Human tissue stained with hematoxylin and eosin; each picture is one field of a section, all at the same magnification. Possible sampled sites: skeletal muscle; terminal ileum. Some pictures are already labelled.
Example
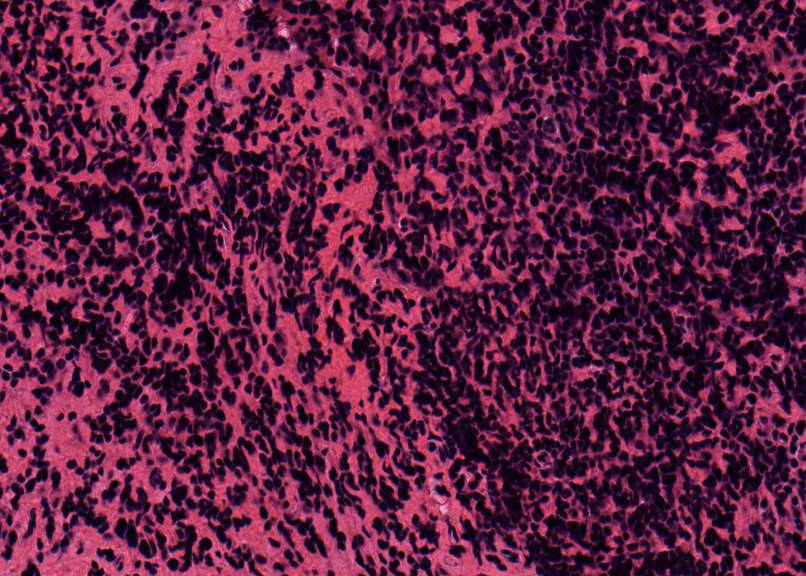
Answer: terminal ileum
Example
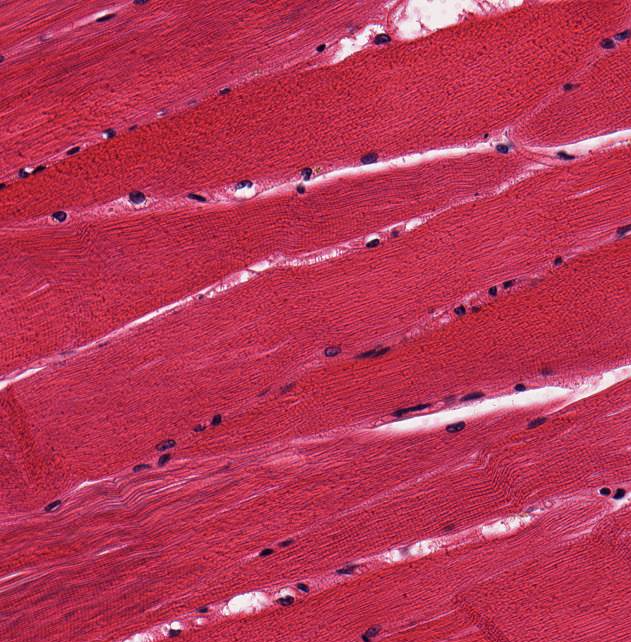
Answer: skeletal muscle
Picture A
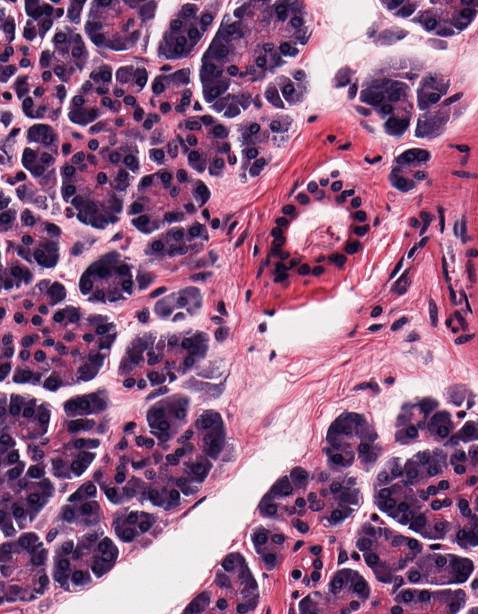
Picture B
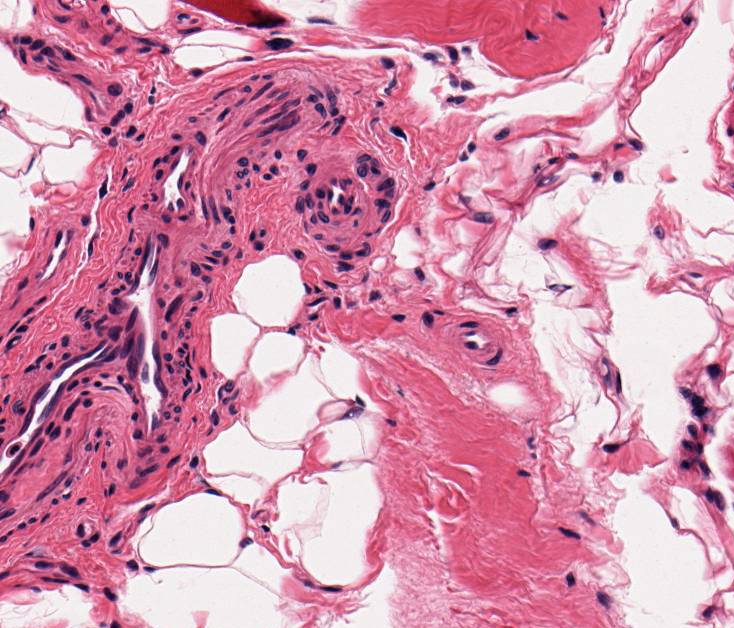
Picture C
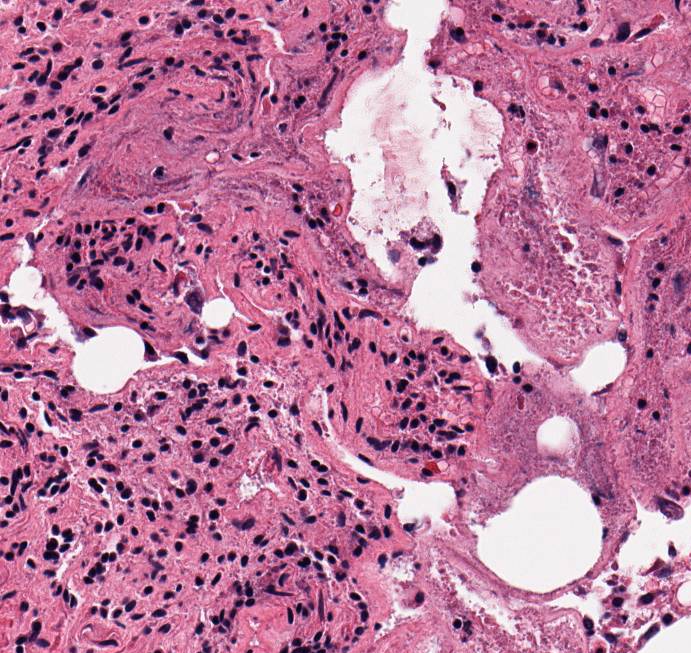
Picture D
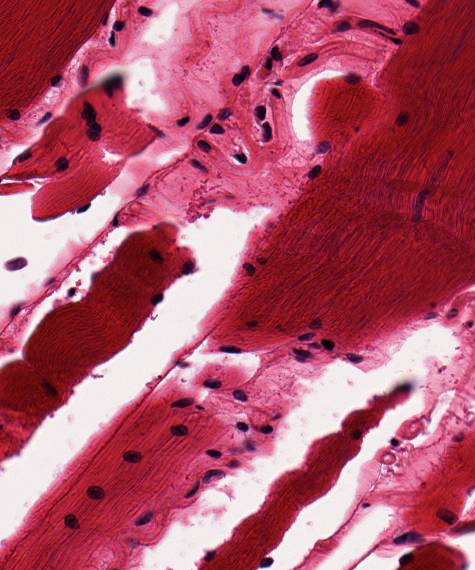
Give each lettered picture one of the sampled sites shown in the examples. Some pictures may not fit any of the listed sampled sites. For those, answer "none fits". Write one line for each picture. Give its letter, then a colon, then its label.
A: none fits
B: skeletal muscle
C: terminal ileum
D: skeletal muscle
